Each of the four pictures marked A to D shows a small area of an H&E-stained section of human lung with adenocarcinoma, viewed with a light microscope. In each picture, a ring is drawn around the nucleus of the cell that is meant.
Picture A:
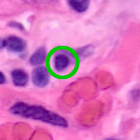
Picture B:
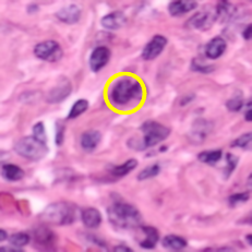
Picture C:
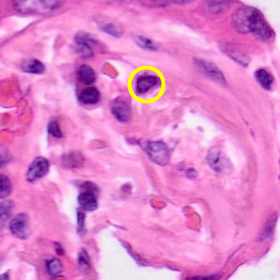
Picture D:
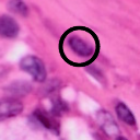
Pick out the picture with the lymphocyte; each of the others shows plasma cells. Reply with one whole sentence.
It is picture A that shows the lymphocyte.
